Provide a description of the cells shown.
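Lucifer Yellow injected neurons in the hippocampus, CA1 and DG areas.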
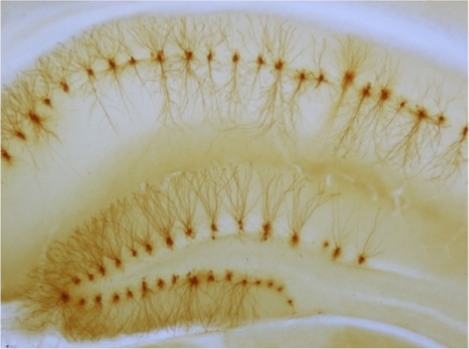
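The filled cell bodies lie at regular intervals along curved rows. From each cell body, dendrites fan out perpendicular to the row and branch repeatedly. Where neighbouring cells lie close together, their dendritic fields overlap into a dense brown meshwork.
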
